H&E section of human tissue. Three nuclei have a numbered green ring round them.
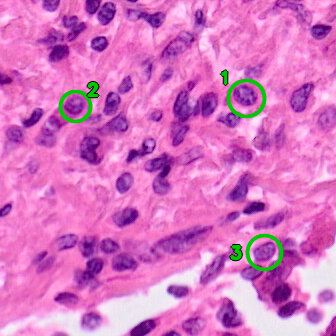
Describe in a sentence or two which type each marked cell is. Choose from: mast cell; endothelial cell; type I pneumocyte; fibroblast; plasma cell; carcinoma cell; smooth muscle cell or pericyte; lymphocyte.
Cell 1 is a mast cell, cell 2 is a plasma cell and cell 3 is a lymphocyte.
